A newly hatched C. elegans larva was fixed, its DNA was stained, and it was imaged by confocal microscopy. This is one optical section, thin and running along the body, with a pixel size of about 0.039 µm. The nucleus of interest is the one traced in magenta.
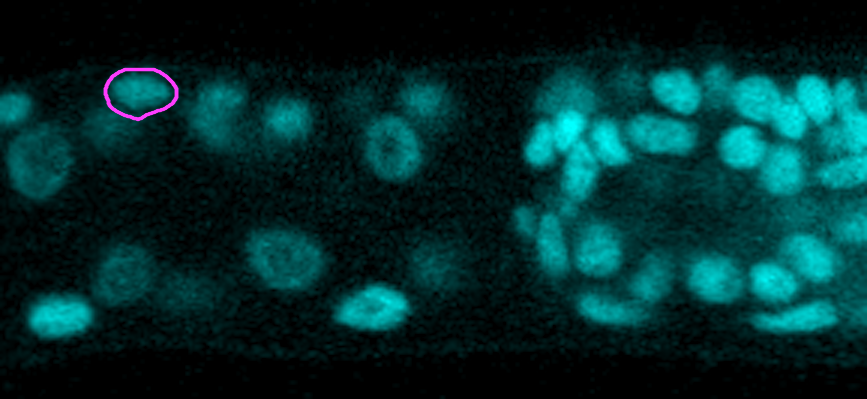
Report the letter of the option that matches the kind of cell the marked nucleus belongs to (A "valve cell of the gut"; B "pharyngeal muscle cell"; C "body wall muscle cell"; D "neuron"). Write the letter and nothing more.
D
